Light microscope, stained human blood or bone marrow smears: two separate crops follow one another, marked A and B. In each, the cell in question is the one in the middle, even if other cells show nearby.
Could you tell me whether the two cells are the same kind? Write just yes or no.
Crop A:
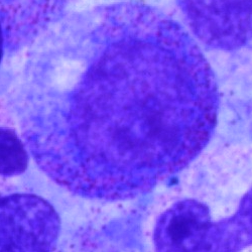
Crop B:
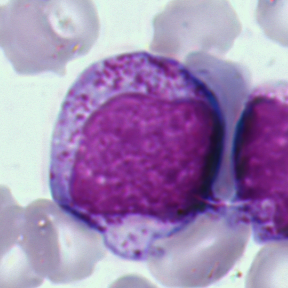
yes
